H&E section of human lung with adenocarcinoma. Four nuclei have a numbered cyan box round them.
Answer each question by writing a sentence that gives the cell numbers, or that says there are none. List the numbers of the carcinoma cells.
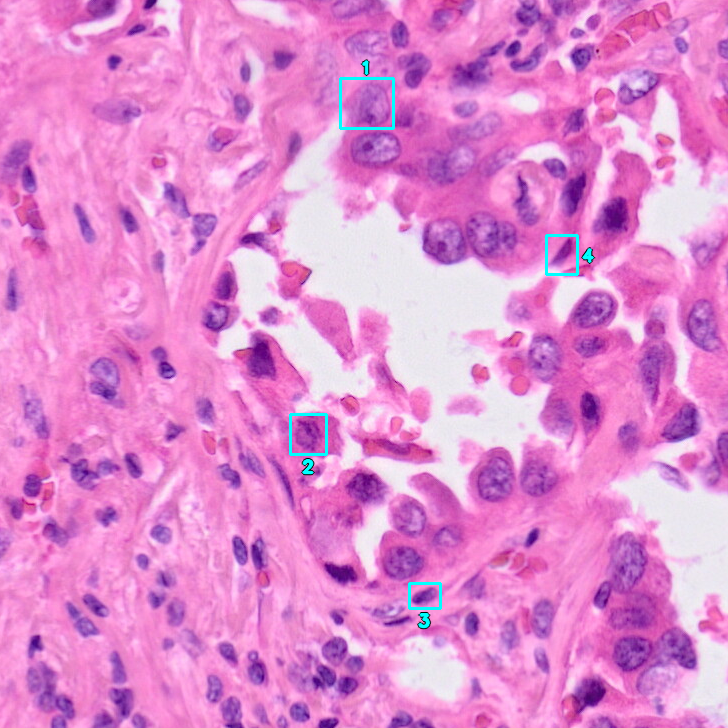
The cells carrying the numbers 1, 2 and 4 are carcinoma cells.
